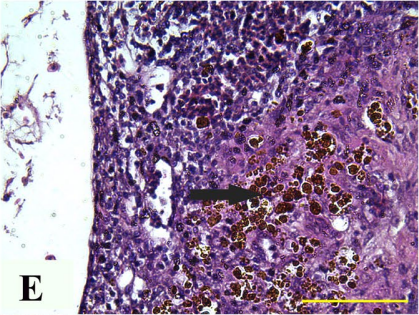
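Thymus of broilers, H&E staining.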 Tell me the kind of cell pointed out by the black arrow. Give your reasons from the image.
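The arrow points to a cluster of large cells filled with golden-brown granular pigment. The pigmented cells lie among smaller blue-nucleated cells in pink stroma.
Hemosiderin-laden macrophages.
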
